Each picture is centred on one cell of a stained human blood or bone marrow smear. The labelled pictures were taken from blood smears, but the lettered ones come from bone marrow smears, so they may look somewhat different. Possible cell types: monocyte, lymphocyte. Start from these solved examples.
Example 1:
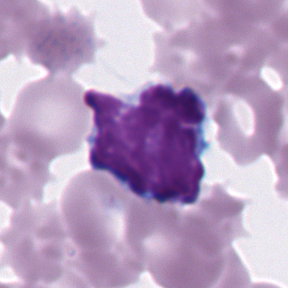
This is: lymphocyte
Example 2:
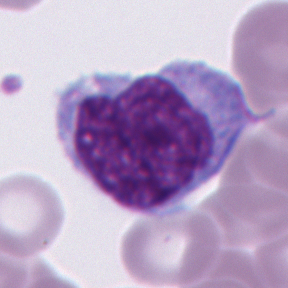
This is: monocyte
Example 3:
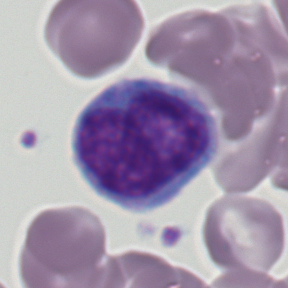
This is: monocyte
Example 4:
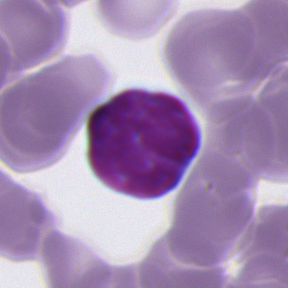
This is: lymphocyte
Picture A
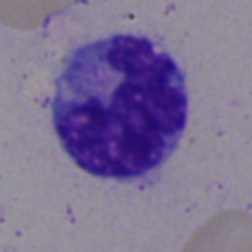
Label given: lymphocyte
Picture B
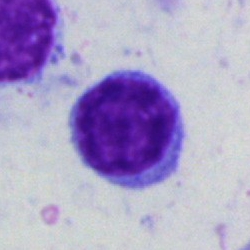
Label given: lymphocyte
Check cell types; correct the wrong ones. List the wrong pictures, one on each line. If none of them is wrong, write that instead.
A should be monocyte, not lymphocyte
